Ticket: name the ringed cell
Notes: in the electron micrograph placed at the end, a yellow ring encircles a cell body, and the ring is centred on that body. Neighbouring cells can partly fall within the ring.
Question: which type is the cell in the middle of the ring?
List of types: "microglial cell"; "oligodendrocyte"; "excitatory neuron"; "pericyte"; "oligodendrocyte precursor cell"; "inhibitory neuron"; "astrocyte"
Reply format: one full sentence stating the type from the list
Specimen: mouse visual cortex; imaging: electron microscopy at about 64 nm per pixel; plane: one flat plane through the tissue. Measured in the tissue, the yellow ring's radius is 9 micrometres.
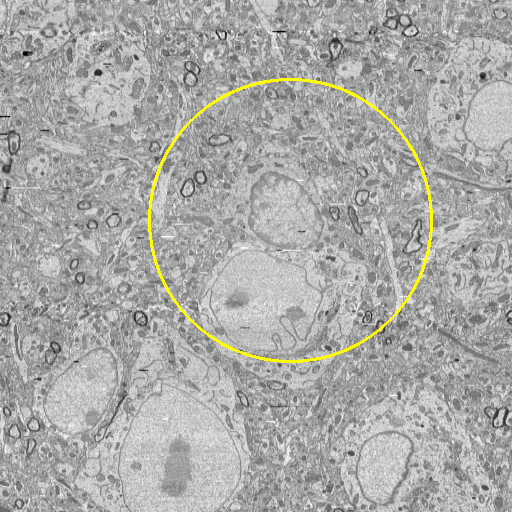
The cell sitting at the centre of the yellow ring is an oligodendrocyte.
